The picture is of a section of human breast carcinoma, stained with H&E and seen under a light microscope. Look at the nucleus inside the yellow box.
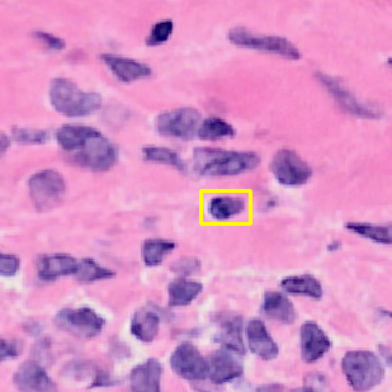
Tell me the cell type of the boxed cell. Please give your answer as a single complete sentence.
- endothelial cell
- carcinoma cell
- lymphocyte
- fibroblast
In this tissue sample, the boxed cell is a lymphocyte.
